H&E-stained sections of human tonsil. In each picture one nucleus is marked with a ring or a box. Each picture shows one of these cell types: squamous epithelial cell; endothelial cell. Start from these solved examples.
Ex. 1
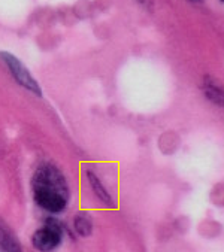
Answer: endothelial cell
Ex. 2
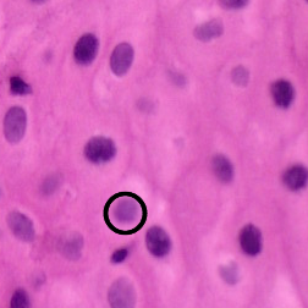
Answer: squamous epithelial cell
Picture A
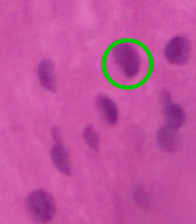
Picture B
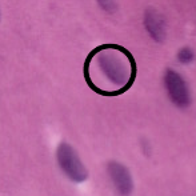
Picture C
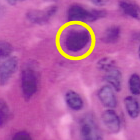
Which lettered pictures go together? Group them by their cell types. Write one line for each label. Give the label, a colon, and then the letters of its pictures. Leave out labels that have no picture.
squamous epithelial cell: A, B, C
